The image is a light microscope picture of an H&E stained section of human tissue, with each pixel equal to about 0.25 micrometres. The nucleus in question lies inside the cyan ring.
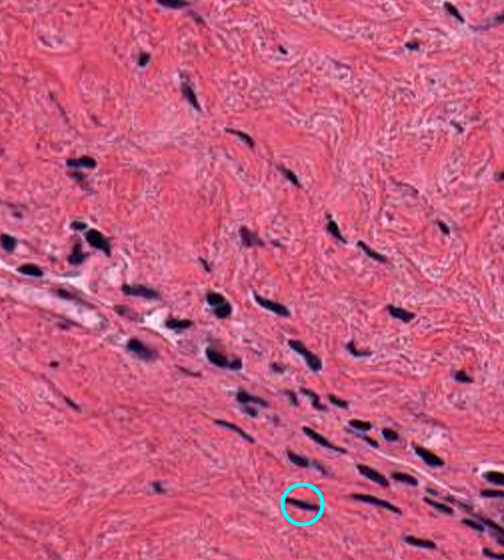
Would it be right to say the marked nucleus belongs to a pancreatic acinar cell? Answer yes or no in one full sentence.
No, it is to a supporting cell that the marked nucleus belongs, not to a pancreatic acinar cell.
